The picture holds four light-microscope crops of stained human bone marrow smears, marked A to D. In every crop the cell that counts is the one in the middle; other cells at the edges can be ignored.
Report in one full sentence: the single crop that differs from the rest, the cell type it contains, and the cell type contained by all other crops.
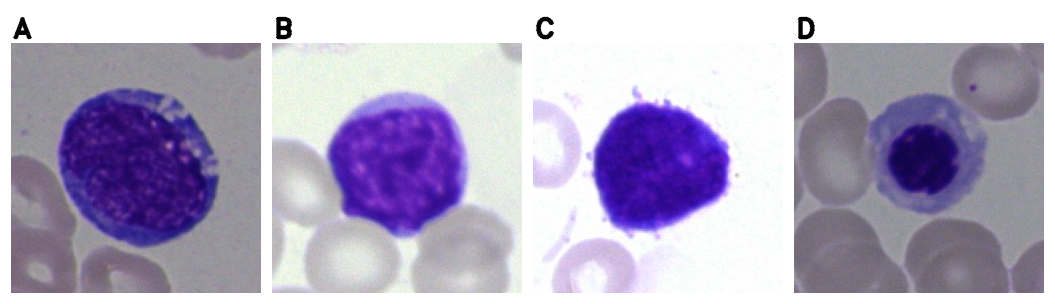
Only in crop D is there a normoblast; all other crops show blasts.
